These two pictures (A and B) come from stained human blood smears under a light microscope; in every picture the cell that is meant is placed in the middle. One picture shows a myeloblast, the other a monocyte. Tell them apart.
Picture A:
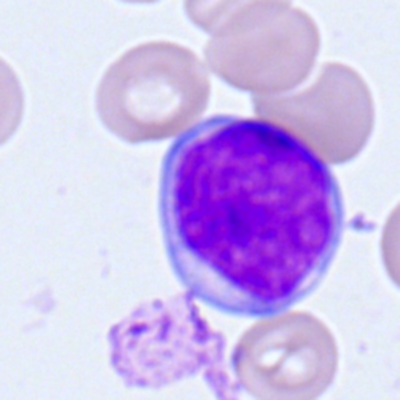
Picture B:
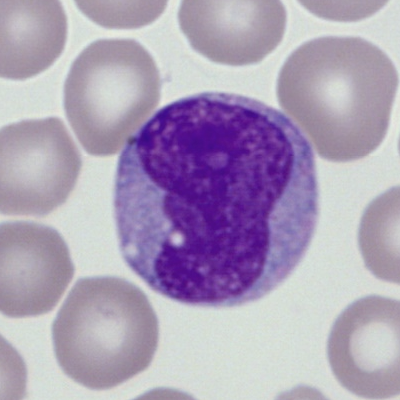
A: myeloblast
B: monocyte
